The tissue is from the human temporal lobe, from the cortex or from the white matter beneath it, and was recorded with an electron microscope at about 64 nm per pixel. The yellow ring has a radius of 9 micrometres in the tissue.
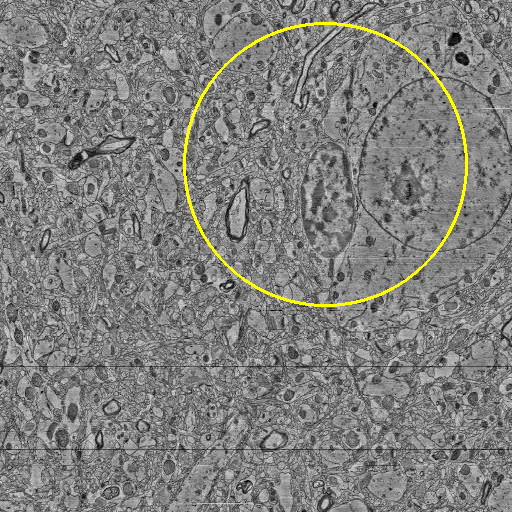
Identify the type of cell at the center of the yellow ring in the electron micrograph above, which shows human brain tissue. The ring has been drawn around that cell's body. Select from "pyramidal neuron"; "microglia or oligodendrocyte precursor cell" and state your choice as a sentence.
The yellow ring is centered on the body of a microglial cell or oligodendrocyte precursor cell.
